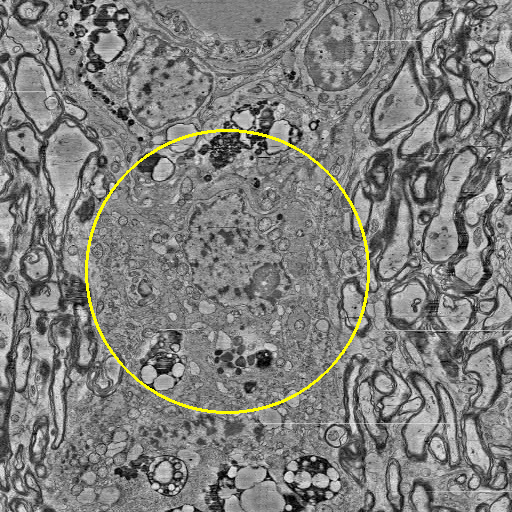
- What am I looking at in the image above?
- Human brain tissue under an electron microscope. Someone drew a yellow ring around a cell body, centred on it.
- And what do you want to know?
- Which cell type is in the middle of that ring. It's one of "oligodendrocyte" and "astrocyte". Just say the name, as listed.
astrocyte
